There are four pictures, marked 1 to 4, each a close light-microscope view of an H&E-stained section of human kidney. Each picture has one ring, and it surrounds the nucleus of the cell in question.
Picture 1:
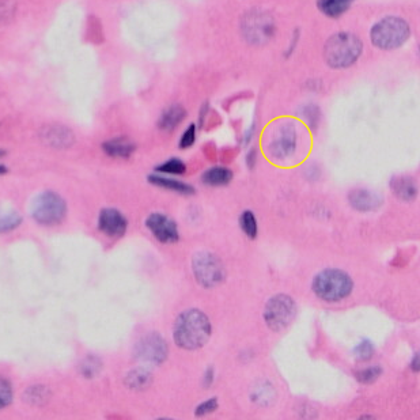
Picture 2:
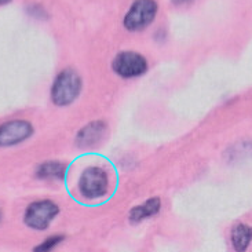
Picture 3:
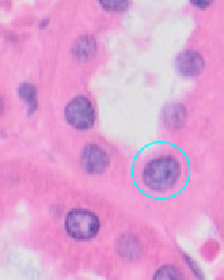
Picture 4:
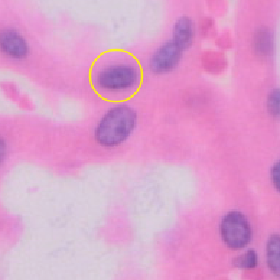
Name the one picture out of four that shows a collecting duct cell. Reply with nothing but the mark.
4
